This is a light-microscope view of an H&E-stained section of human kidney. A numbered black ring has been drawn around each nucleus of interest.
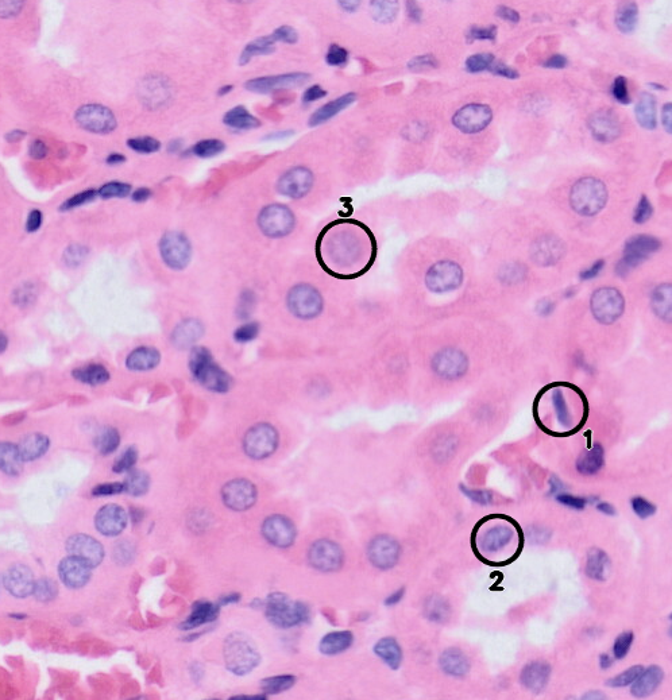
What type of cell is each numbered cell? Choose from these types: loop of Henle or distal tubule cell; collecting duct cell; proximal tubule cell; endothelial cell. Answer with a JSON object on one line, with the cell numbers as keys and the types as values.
{"1": "endothelial cell", "2": "loop of Henle or distal tubule cell", "3": "proximal tubule cell"}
